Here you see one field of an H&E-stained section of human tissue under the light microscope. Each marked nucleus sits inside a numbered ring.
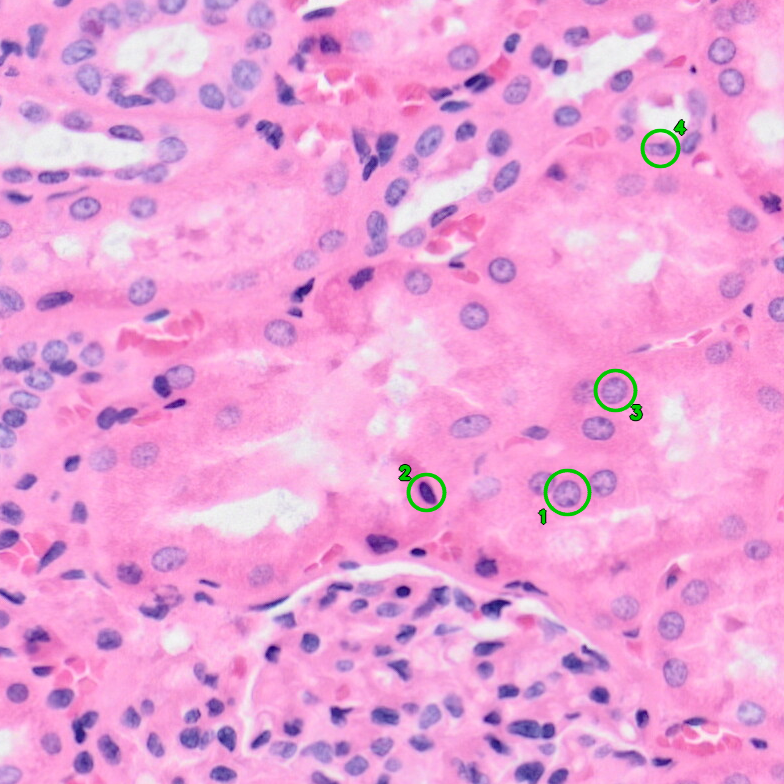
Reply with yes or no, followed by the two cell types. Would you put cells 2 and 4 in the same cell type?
No, as for cell 2, it is a proximal tubule cell, and cell 4 is a collecting duct cell.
